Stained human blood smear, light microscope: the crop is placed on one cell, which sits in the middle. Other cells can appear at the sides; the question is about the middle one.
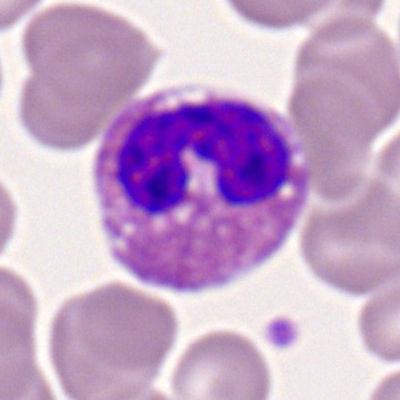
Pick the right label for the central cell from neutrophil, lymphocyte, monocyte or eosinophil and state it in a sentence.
The cell in the middle of this crop is an eosinophil.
